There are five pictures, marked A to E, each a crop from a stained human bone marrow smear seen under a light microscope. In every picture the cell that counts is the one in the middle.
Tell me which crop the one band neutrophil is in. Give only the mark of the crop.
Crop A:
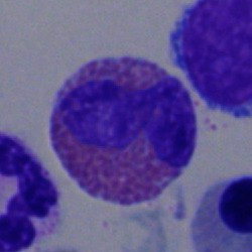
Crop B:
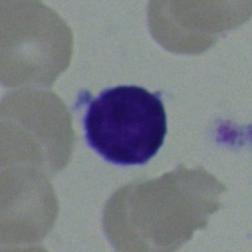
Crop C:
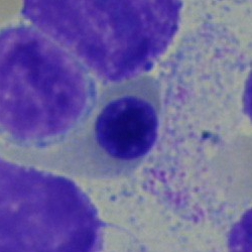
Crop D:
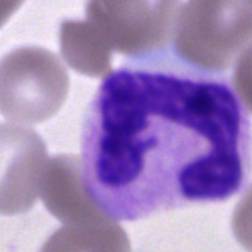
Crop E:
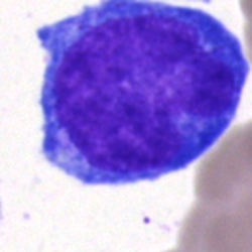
D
